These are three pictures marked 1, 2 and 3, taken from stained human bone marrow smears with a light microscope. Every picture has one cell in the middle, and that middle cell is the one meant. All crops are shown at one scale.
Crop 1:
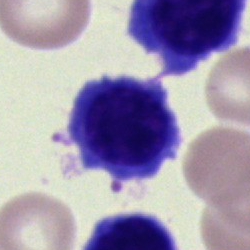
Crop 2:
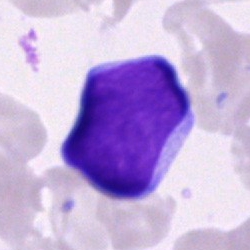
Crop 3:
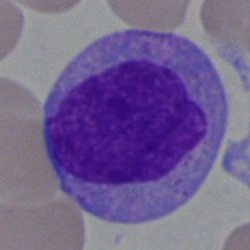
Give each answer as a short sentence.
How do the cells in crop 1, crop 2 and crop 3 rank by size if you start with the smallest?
From the smallest up, the order is 1, 2, 3.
